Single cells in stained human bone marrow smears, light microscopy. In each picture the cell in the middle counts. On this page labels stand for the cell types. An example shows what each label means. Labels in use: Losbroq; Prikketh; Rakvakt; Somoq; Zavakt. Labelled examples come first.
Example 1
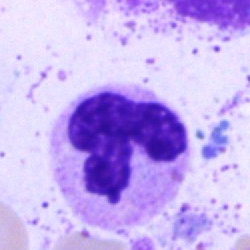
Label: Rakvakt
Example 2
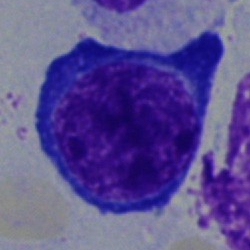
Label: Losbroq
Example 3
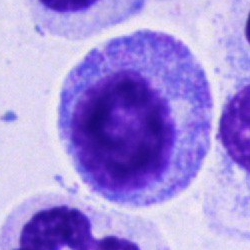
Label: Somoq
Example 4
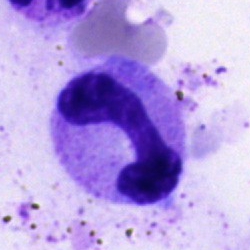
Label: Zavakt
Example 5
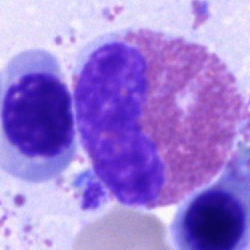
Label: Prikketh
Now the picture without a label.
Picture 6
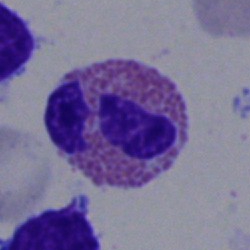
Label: Prikketh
